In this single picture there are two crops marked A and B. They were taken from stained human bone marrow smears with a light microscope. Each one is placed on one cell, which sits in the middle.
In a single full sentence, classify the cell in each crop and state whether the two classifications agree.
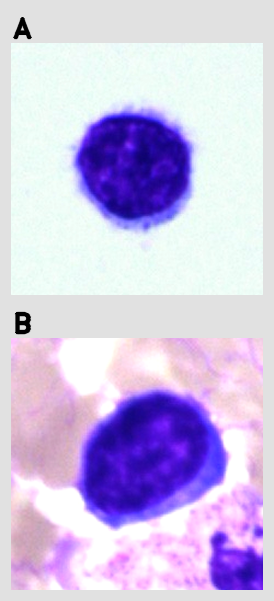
Yes, lymphocytes are the cells shown in both crops.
